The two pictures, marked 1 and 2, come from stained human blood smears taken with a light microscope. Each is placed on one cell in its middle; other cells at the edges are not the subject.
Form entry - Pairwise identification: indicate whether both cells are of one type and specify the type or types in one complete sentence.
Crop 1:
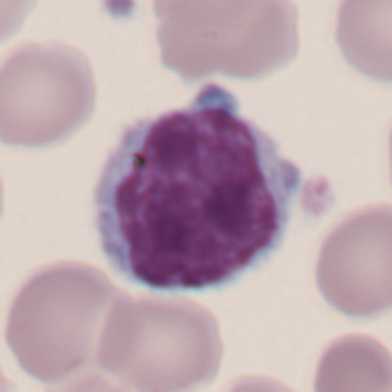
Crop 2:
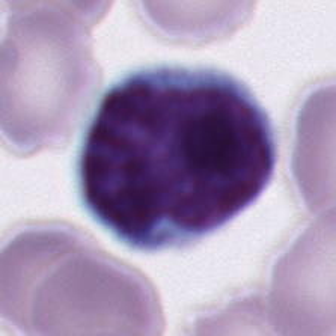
Yes, it is typical lymphocytes that occupy the middle of both crops.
